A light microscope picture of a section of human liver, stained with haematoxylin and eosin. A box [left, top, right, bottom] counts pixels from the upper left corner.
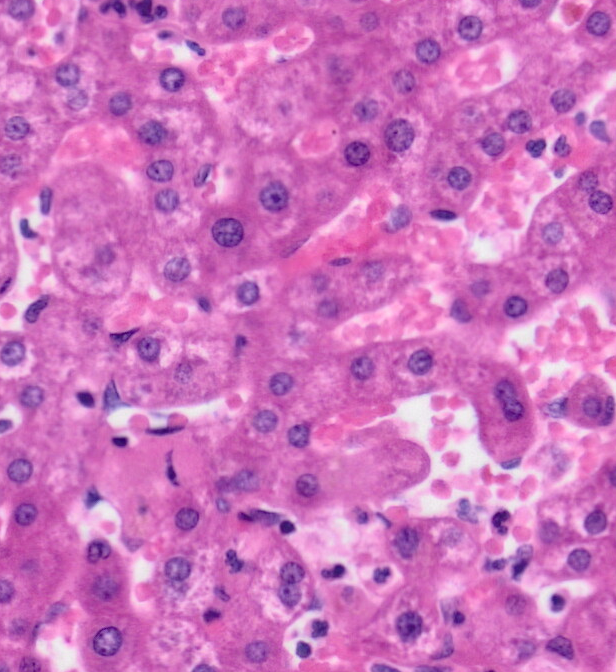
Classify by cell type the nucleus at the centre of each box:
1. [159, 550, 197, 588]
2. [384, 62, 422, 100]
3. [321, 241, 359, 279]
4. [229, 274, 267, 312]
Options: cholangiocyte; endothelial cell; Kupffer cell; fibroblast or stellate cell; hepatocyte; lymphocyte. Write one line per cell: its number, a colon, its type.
1: hepatocyte
2: hepatocyte
3: fibroblast or stellate cell
4: hepatocyte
